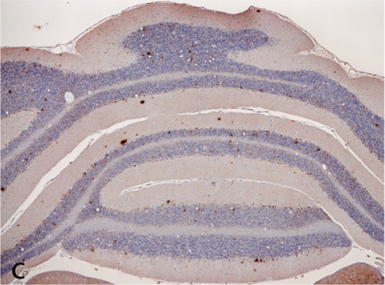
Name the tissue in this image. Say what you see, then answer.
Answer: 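Cerebellum. Folded folia with a dense blue-stained granular layer. Pale molecular layer covering each folium. Narrow pale white matter cores within the folia.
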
